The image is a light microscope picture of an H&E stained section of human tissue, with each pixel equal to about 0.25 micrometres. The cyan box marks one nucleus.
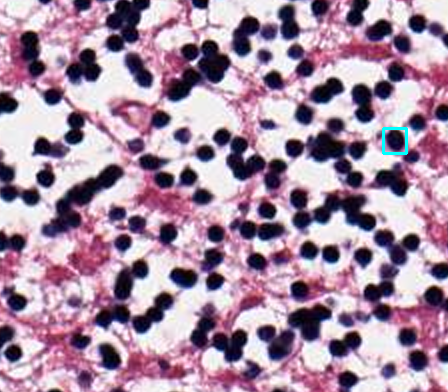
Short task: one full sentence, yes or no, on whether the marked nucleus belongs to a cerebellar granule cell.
Yes, the marked nucleus is one that belongs to a cerebellar granule cell.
